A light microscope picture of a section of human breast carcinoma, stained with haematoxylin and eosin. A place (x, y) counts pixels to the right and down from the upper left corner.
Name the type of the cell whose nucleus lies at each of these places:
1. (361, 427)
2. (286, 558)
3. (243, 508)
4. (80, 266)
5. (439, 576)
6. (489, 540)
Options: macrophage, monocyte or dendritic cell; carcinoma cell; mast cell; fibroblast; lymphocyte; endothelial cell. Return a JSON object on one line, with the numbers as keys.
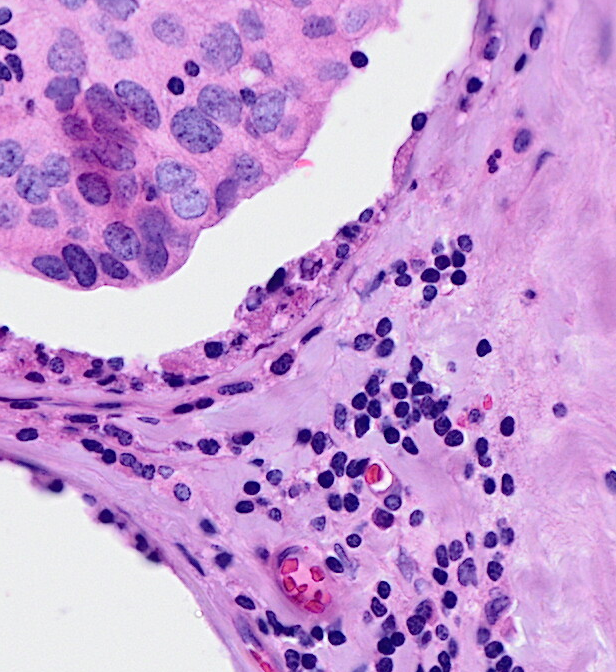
{"1": "lymphocyte", "2": "endothelial cell", "3": "lymphocyte", "4": "carcinoma cell", "5": "lymphocyte", "6": "lymphocyte"}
